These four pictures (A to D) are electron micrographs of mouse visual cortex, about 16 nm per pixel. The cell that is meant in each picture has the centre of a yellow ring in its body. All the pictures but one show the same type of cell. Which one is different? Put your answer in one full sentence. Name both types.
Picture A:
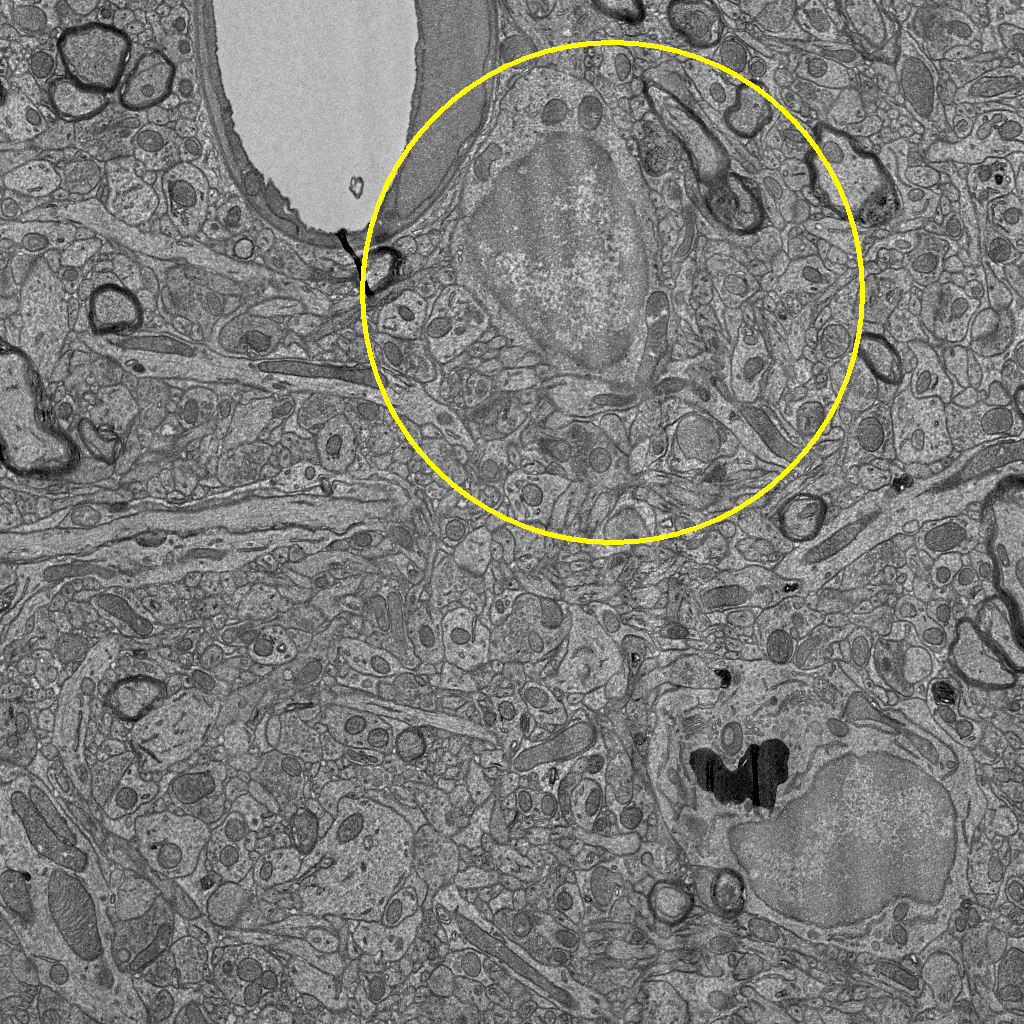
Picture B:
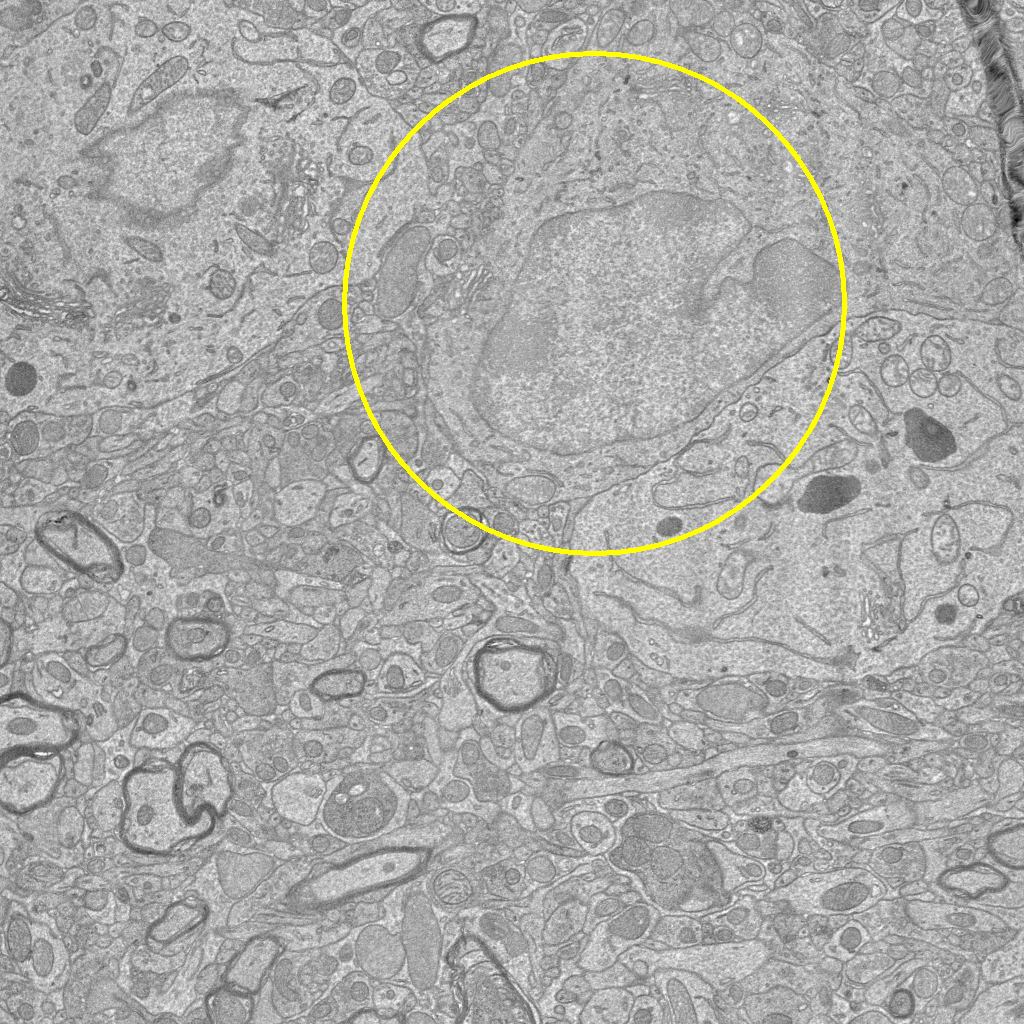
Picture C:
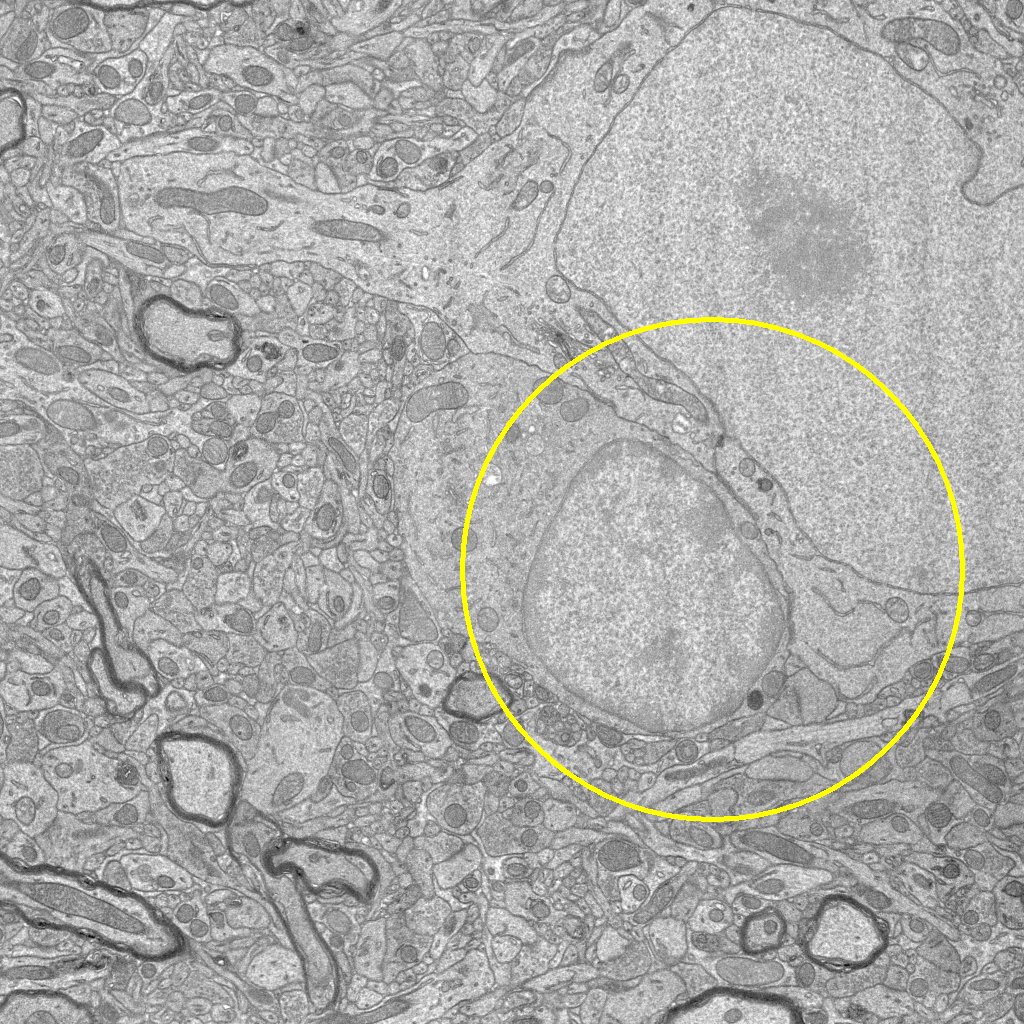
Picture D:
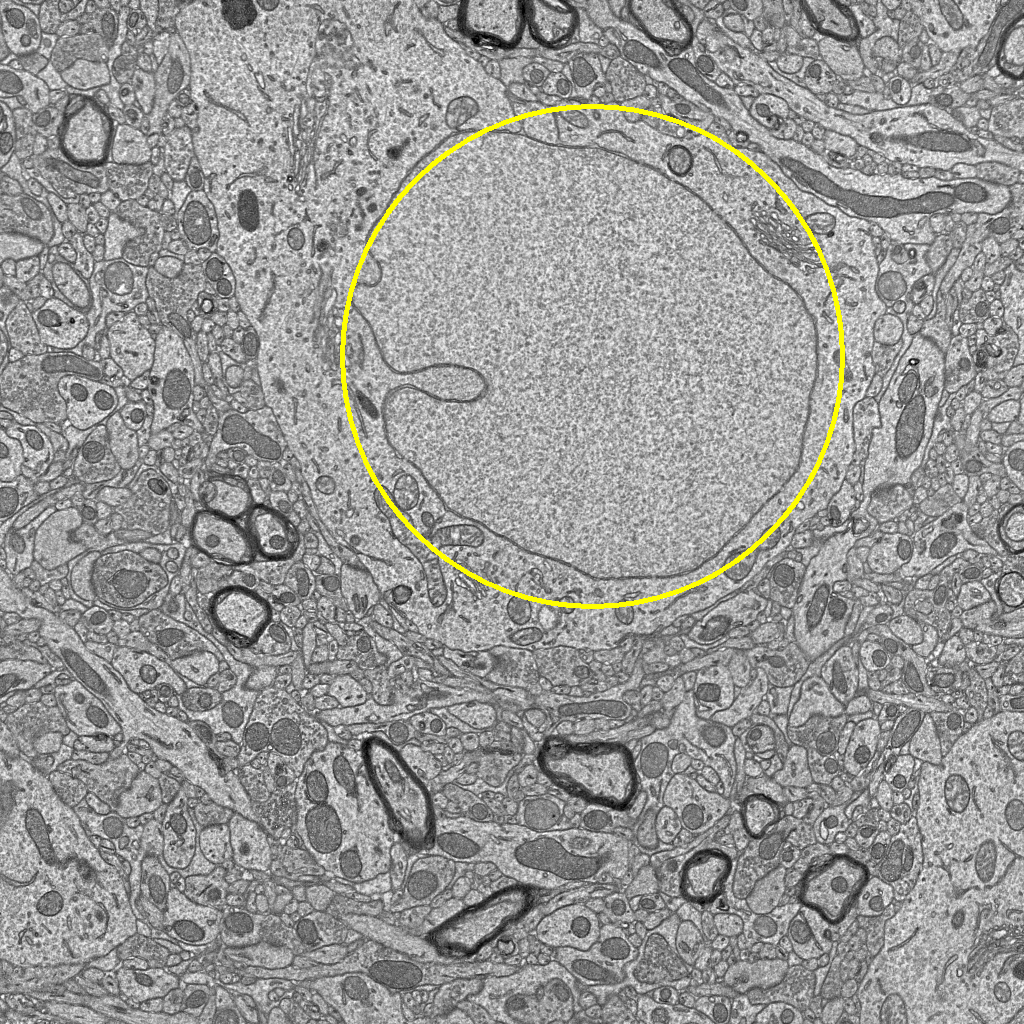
Picture D differs, because its cell is an excitatory neuron and the rest are oligodendrocytes.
